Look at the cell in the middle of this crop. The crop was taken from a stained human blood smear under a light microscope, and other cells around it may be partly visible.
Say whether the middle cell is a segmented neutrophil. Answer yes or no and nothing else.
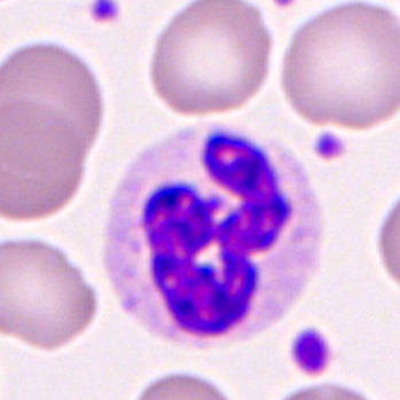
yes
